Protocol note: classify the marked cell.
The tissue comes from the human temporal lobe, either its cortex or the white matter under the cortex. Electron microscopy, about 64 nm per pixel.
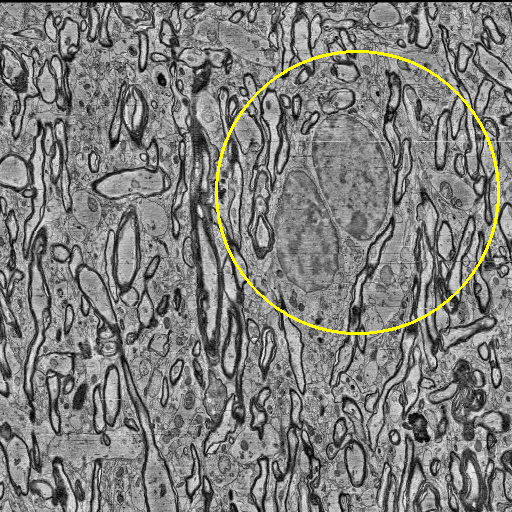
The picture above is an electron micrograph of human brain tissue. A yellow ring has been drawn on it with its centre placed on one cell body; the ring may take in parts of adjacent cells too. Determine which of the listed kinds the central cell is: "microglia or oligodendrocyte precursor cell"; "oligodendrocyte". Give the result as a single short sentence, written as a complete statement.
The central cell is a microglial cell or oligodendrocyte precursor cell.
